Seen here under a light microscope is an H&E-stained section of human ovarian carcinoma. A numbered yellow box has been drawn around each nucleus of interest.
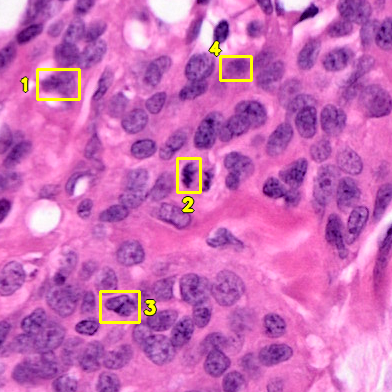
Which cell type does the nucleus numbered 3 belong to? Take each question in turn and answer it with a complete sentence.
Cell 3, among those numbered, is a macrophage or monocyte.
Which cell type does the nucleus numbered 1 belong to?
Cell 1 of the marked set is a carcinoma cell.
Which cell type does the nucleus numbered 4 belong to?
At number 4, the marked cell is a carcinoma cell.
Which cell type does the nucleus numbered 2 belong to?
Here the cell numbered 2 is a carcinoma cell.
